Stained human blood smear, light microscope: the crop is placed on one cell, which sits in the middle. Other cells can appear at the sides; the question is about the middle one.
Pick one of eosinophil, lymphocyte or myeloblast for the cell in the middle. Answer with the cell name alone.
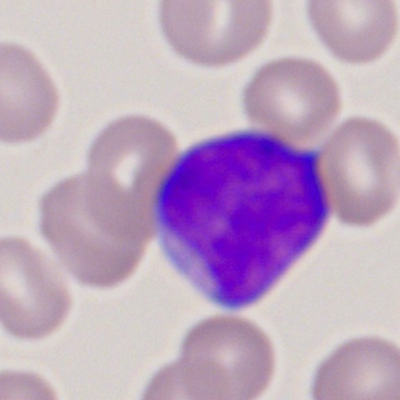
myeloblast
